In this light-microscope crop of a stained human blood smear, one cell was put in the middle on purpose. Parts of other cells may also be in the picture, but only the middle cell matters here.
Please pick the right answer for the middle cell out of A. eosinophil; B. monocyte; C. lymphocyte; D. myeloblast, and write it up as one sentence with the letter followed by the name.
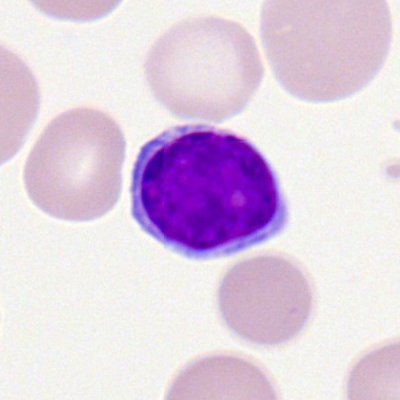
In the centre of the crop there is a lymphocyte, making option C correct.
